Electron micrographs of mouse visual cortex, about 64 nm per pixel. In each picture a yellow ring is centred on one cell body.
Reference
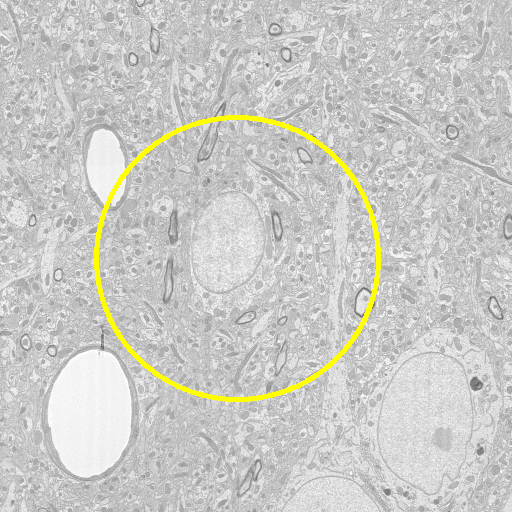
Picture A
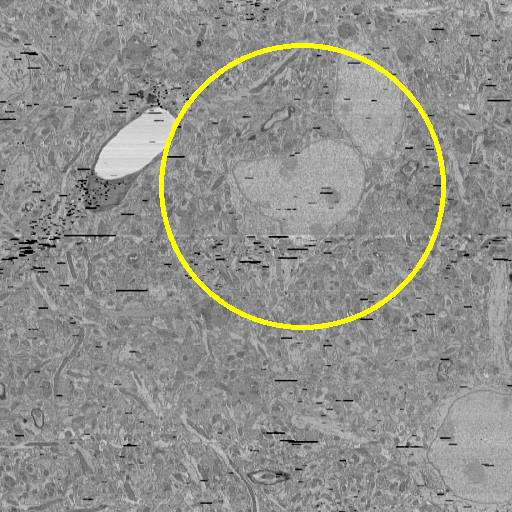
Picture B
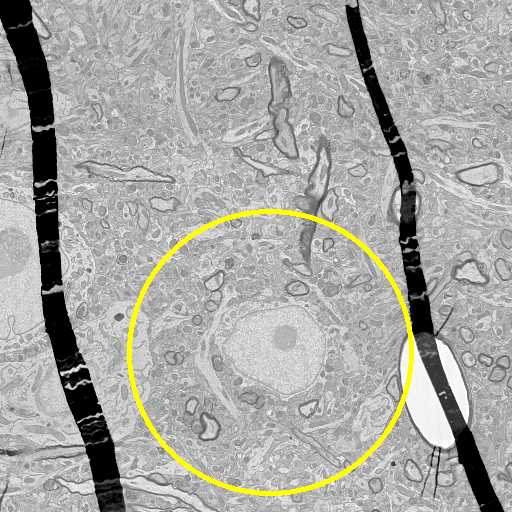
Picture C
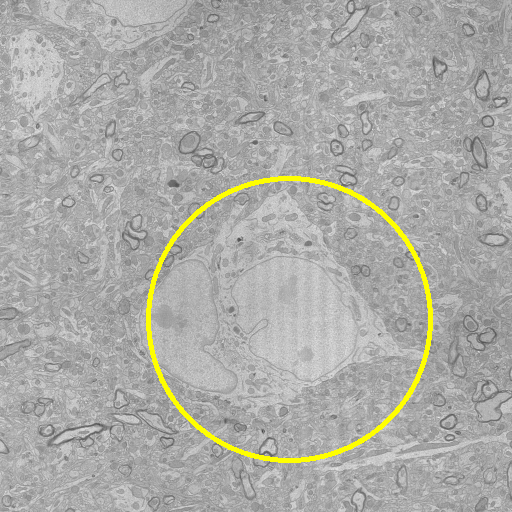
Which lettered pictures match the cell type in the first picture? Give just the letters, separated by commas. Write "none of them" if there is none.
A, B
